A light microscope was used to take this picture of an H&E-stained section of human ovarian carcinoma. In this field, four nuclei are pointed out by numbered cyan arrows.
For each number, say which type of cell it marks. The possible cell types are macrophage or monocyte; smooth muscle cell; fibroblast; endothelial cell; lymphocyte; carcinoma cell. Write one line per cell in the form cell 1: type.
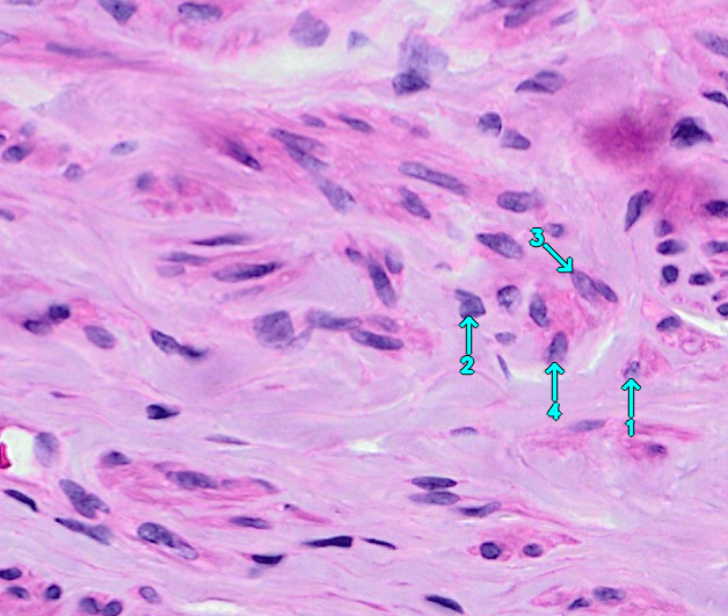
cell 1: smooth muscle cell
cell 2: fibroblast
cell 3: smooth muscle cell
cell 4: smooth muscle cell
